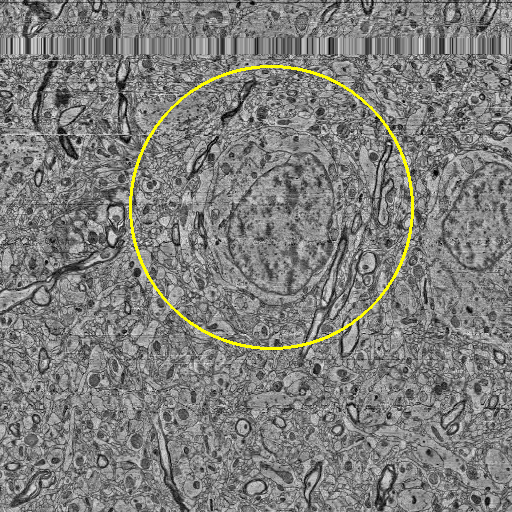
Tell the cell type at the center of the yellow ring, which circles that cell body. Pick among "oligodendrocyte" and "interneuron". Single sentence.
The ring is centered on the body of an interneuron.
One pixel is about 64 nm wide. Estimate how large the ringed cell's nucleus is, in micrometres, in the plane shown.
In this plane the nucleus is about 9 micrometres by 7.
